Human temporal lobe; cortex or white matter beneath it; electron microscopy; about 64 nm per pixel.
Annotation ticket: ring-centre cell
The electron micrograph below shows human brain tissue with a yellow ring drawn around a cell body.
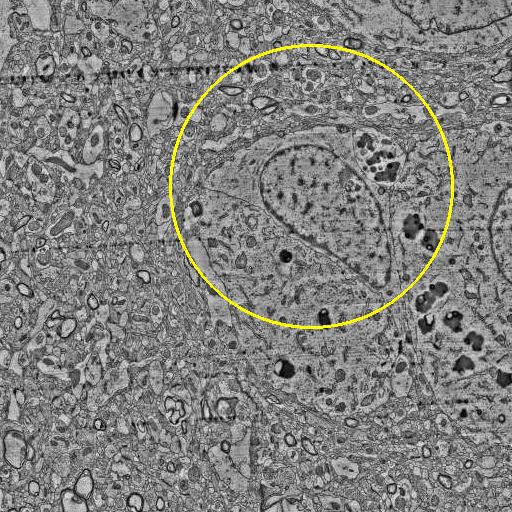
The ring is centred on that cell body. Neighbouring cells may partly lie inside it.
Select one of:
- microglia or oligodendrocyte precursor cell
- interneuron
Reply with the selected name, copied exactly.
microglia or oligodendrocyte precursor cell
